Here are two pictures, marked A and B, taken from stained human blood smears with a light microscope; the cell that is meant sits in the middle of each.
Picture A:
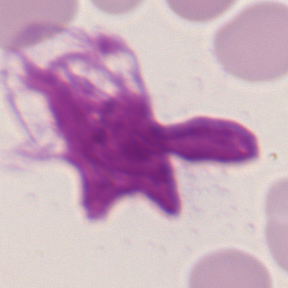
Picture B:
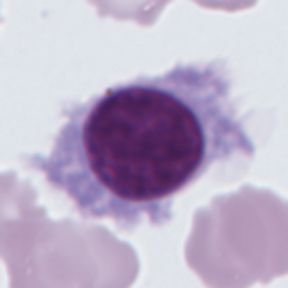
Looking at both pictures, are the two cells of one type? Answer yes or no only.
no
